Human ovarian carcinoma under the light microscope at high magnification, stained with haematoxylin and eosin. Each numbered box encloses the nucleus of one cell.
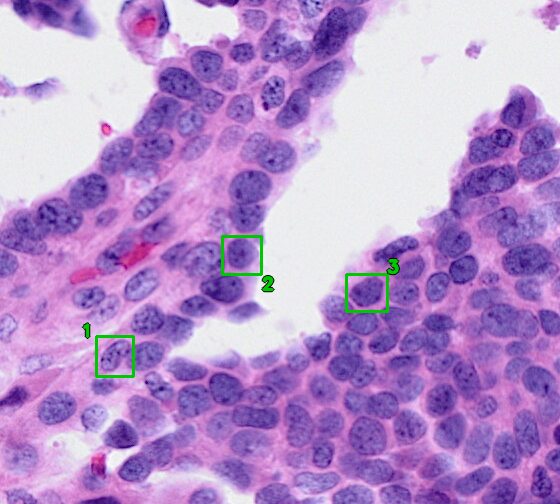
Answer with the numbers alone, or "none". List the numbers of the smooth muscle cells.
none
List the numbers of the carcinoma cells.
2, 3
